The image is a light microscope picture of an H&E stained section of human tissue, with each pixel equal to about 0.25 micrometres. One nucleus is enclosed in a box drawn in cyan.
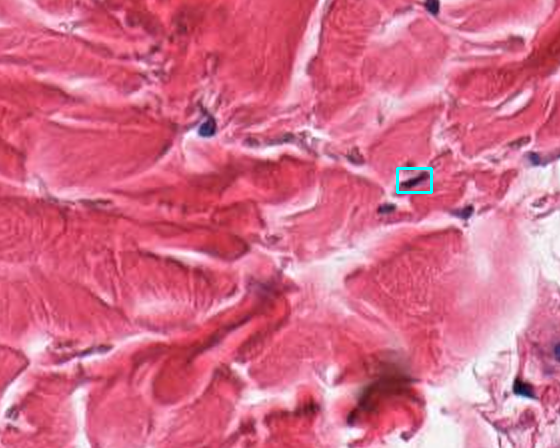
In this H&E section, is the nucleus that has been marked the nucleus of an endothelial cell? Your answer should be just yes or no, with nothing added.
no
